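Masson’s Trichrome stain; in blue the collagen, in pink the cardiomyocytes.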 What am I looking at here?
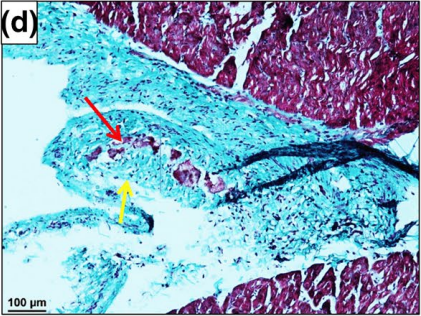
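A few pink-purple cells sit embedded within the fibrous tissue, apart from the muscle above. A dark blue-black fibrous strand runs from the fibrous area toward the right side of the field.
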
